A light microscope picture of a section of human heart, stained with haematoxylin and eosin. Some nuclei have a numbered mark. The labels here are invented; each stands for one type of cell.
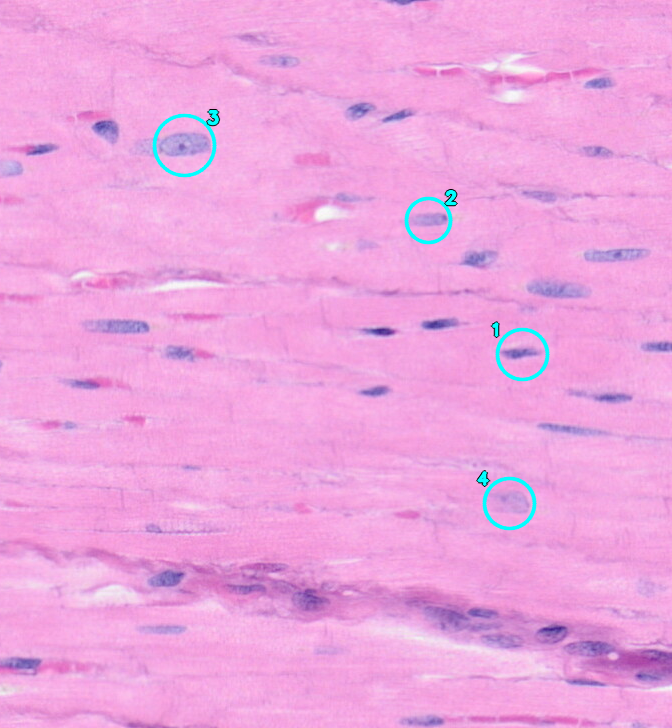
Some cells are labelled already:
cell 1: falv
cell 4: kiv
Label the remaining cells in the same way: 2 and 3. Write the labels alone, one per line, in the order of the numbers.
kiv
kiv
